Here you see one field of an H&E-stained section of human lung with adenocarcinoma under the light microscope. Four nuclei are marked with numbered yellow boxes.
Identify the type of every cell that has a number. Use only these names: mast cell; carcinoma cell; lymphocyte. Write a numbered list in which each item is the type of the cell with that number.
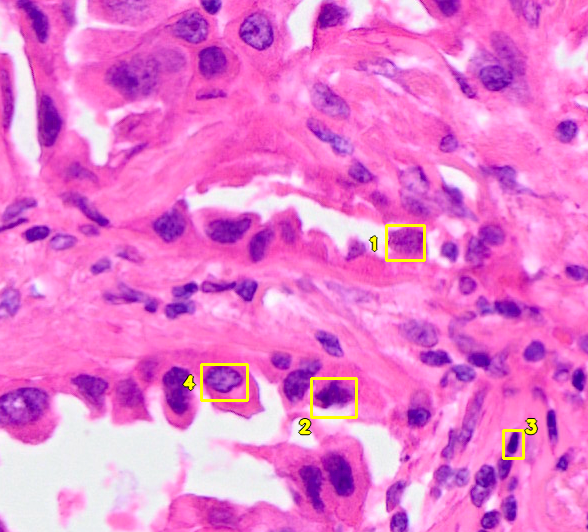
1. carcinoma cell
2. carcinoma cell
3. lymphocyte
4. carcinoma cell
